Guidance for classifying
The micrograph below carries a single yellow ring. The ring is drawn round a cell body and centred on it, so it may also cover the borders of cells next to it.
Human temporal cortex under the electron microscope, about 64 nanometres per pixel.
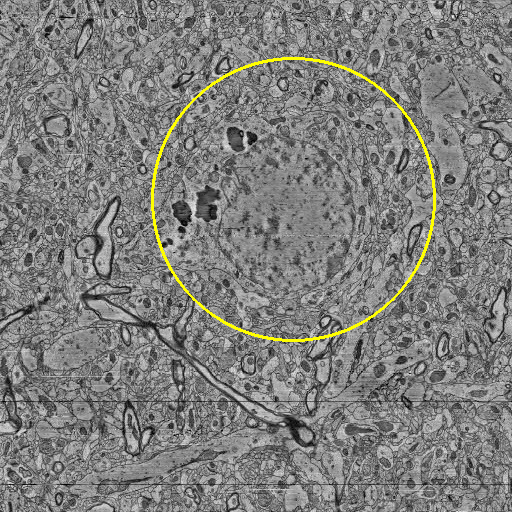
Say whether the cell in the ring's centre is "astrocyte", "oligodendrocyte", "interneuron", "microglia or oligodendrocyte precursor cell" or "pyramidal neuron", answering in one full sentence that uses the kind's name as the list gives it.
Within the yellow ring, an interneuron is the cell whose body sits at the centre.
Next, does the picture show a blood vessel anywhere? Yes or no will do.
No, none is visible.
